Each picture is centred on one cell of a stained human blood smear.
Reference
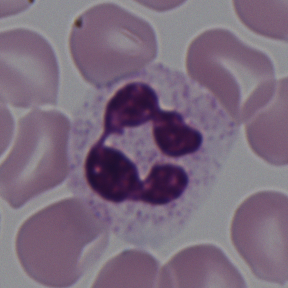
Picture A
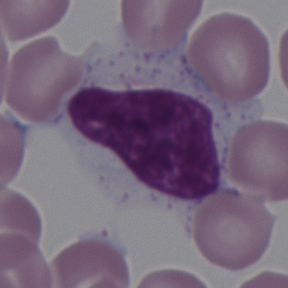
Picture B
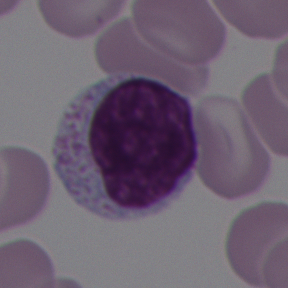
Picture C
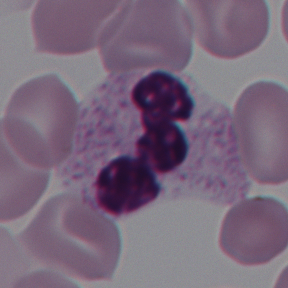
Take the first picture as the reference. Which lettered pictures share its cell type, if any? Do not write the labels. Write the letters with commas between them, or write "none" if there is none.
C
